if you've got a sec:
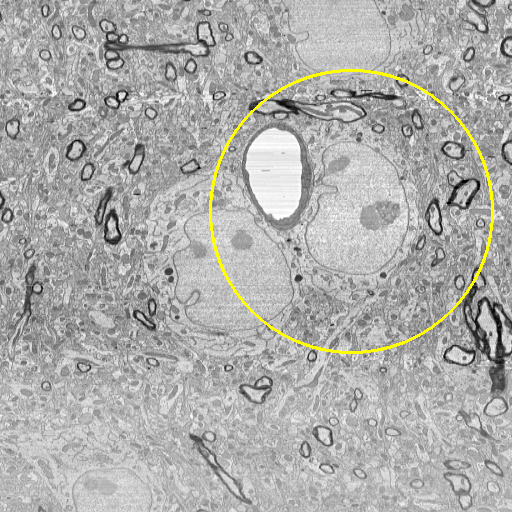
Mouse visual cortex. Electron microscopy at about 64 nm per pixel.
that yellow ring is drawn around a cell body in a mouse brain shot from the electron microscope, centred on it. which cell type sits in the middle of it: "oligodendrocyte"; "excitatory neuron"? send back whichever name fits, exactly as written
excitatory neuron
